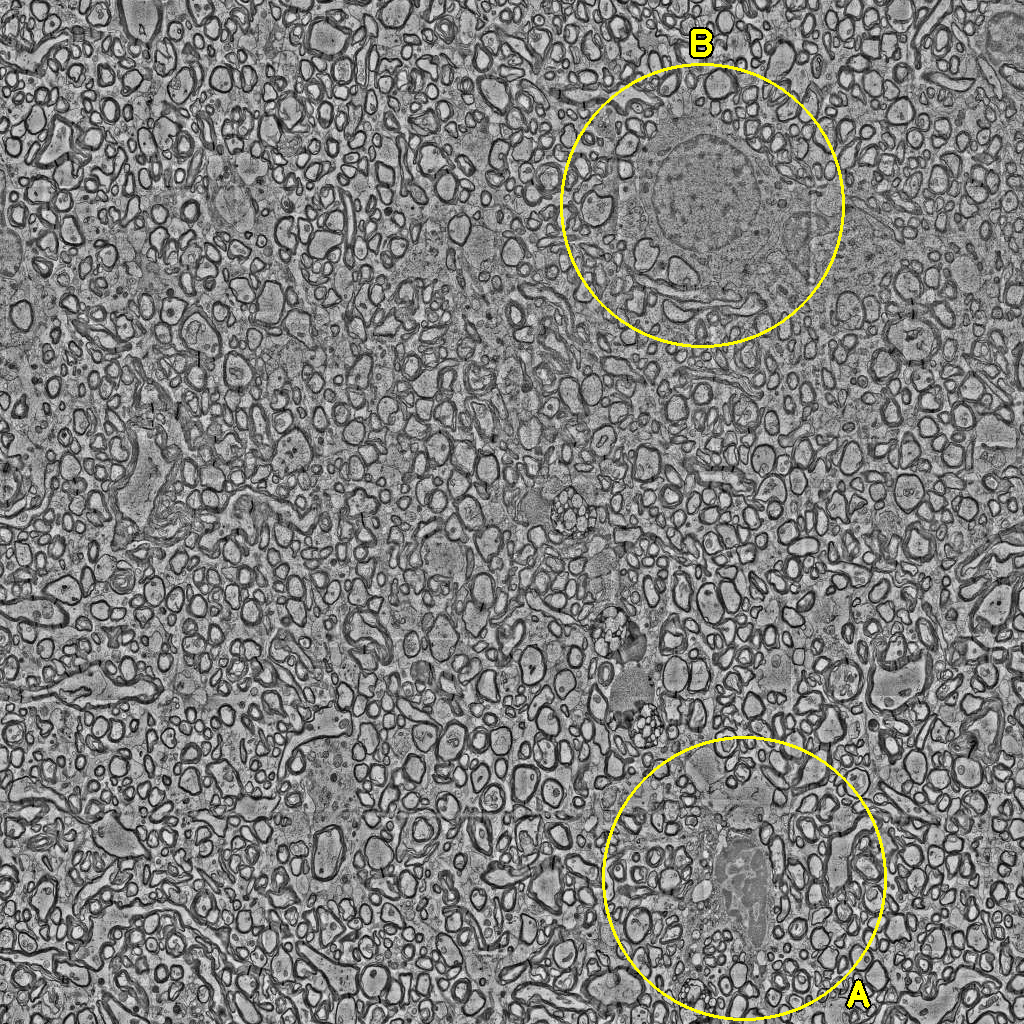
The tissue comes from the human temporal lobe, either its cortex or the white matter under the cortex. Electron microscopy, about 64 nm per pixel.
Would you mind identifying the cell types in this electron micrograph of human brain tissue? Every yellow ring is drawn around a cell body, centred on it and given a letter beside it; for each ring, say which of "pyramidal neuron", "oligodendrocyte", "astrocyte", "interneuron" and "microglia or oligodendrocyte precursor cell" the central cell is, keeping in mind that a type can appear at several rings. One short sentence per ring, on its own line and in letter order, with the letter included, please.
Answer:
At the centre of ring A lies an astrocyte.
At the centre of ring B lies an oligodendrocyte.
